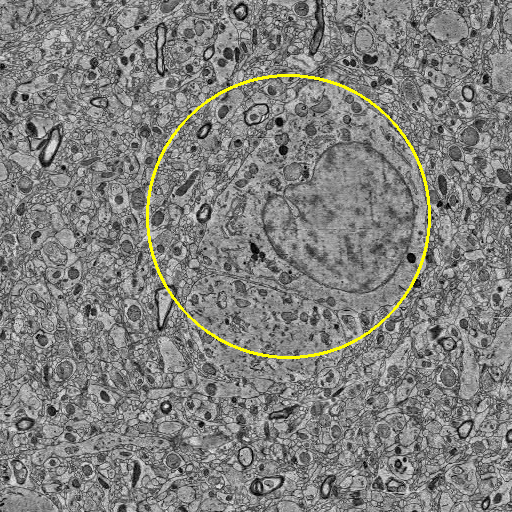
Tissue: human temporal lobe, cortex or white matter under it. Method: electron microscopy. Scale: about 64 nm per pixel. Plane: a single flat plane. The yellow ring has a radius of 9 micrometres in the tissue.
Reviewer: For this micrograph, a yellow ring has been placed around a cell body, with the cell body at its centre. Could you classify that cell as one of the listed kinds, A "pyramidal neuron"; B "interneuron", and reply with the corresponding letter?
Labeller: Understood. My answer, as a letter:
B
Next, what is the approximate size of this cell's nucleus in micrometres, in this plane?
Roughly 10 micrometers across in this plane.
